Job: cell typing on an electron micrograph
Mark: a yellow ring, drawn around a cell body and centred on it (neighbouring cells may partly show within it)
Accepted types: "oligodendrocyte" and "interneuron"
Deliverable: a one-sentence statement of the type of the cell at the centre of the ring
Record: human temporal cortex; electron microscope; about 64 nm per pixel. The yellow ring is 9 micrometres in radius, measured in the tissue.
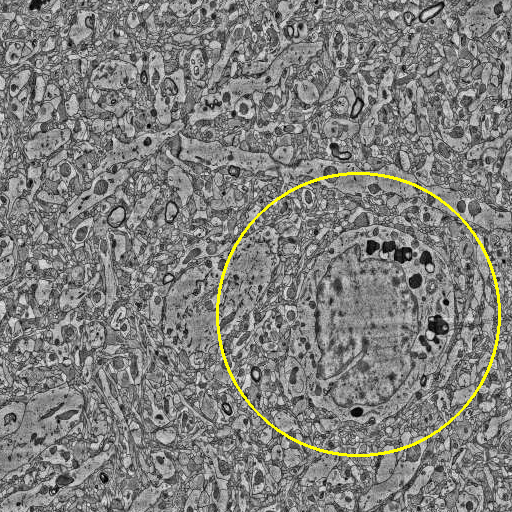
The centred cell body is that of an interneuron.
